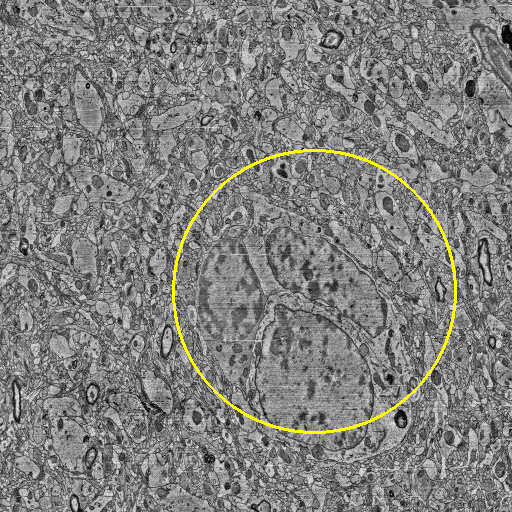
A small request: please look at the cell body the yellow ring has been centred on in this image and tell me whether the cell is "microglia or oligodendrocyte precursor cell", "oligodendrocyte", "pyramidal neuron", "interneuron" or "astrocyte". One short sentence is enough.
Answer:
The cell marked by the ring is a microglial cell or oligodendrocyte precursor cell.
